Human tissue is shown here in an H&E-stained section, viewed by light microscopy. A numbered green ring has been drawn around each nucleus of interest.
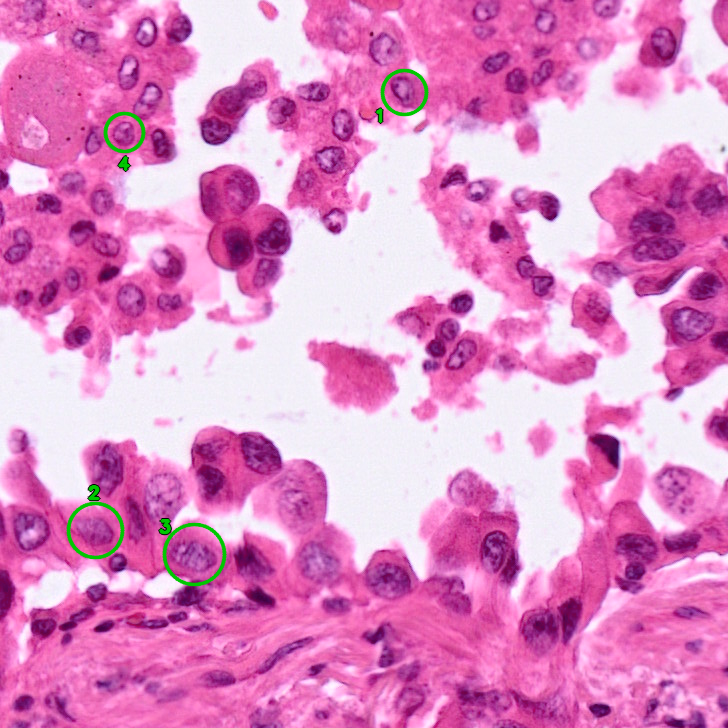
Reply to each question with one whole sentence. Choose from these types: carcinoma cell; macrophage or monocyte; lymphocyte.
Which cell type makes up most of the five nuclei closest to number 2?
Of the five nuclei nearest to number 2, most belong to carcinoma cells.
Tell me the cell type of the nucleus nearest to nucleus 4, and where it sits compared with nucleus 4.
The nearest nucleus is that of a macrophage or monocyte and lies to the left of nucleus 4.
